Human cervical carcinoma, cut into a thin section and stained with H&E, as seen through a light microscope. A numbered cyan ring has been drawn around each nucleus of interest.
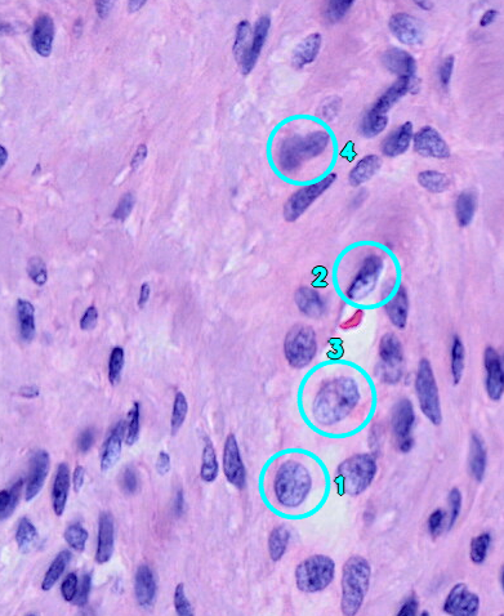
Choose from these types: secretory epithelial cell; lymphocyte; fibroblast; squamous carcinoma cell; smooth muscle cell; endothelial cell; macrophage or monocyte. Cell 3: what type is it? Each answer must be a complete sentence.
To an endothelial cell belongs the nucleus marked 3.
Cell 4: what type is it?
The label 4 in this section denotes a fibroblast.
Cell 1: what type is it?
Among the marked nuclei, number 1 belongs to an endothelial cell.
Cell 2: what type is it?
The cell tagged with 2 in this tissue section is an endothelial cell.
